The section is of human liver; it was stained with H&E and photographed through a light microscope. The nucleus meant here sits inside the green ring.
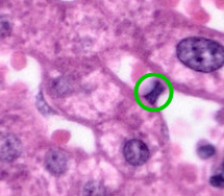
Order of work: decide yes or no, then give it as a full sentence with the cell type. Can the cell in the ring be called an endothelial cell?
Yes, the cell type of the cell in the ring is that of an endothelial cell.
